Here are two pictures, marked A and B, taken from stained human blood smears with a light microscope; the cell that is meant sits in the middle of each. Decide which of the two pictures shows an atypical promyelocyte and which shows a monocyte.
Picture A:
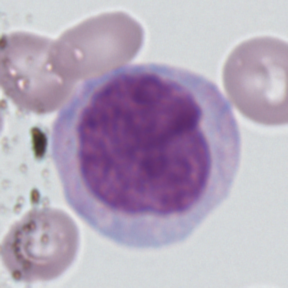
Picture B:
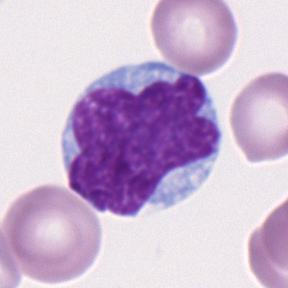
A: atypical promyelocyte
B: monocyte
